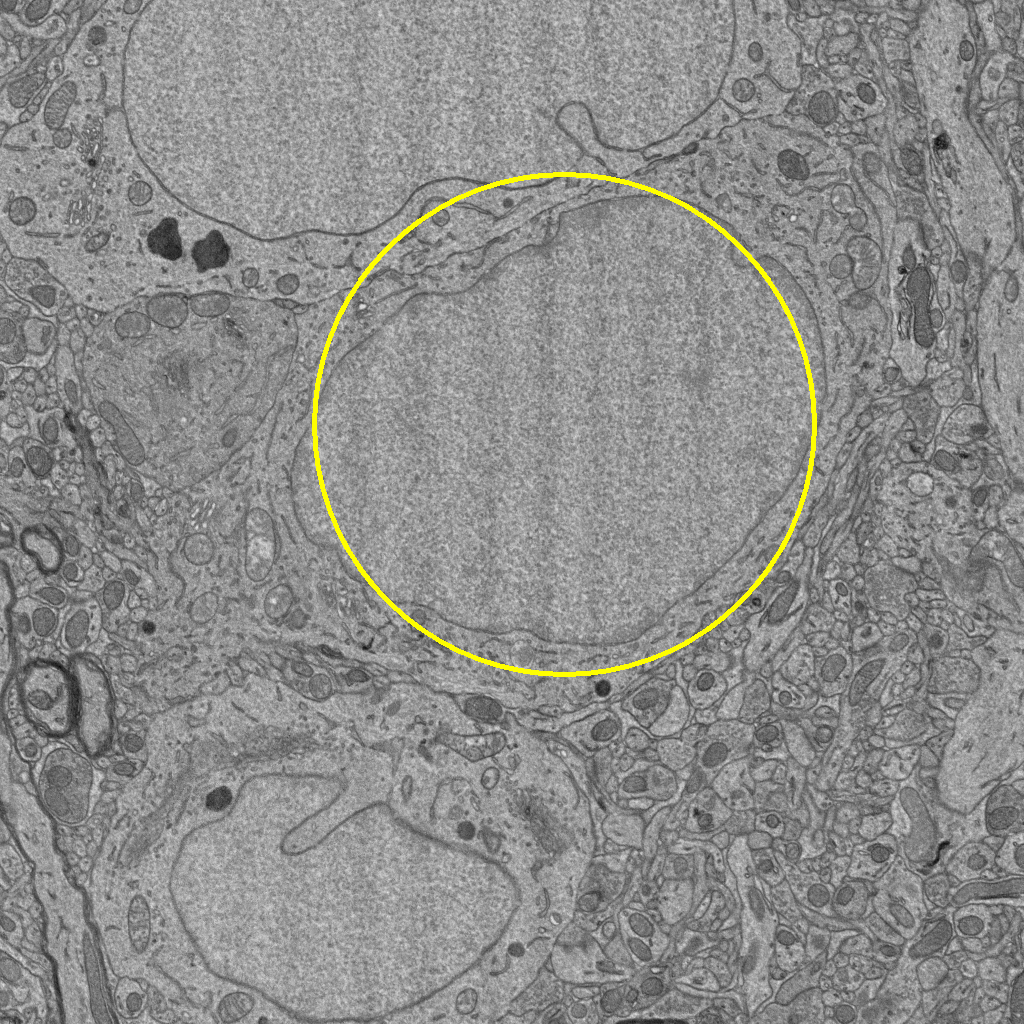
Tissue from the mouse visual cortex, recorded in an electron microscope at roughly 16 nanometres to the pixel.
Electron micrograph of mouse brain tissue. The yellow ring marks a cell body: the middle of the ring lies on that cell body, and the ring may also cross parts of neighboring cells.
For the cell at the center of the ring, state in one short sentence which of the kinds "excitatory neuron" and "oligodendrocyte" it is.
This ring's center lies on an oligodendrocyte.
